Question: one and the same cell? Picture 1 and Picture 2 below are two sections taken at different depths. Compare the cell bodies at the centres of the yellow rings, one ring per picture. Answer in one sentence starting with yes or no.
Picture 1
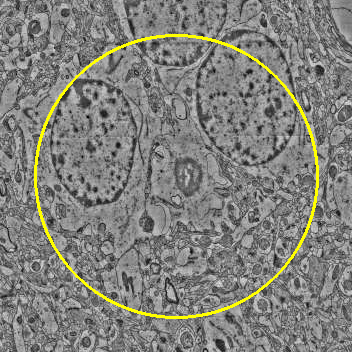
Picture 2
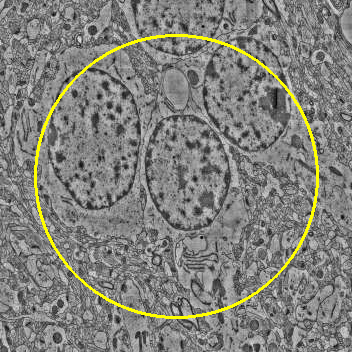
Yes, the cell marked in each ring is one and the same.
